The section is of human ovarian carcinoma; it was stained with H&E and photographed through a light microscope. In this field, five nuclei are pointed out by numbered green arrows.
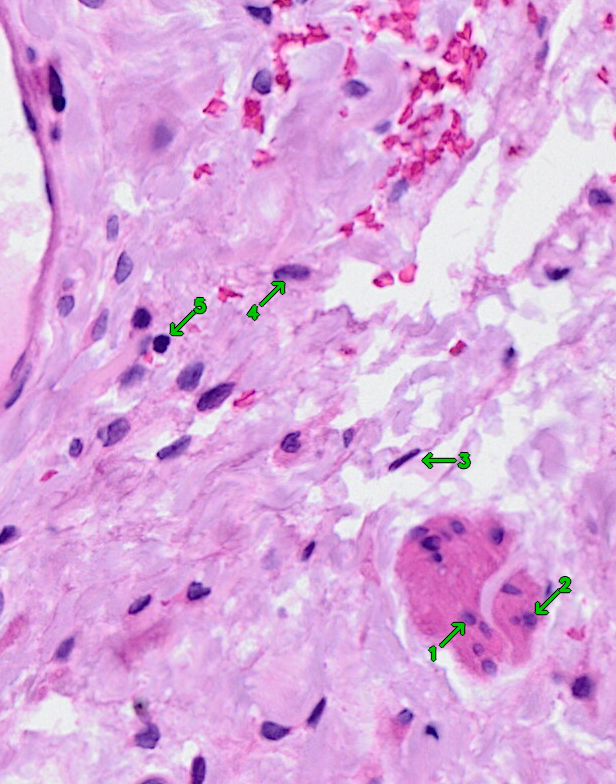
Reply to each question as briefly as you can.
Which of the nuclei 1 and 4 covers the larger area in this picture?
4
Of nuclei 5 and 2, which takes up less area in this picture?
2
